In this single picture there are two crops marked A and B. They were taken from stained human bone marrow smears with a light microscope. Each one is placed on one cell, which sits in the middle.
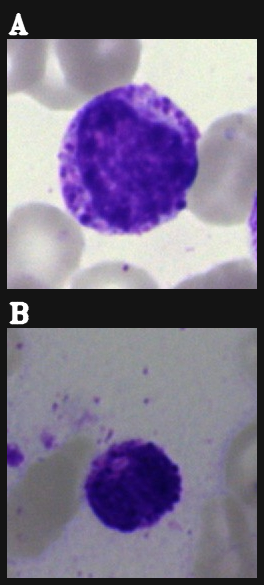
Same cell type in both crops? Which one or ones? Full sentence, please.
Yes, the central cells of both crops are basophils.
